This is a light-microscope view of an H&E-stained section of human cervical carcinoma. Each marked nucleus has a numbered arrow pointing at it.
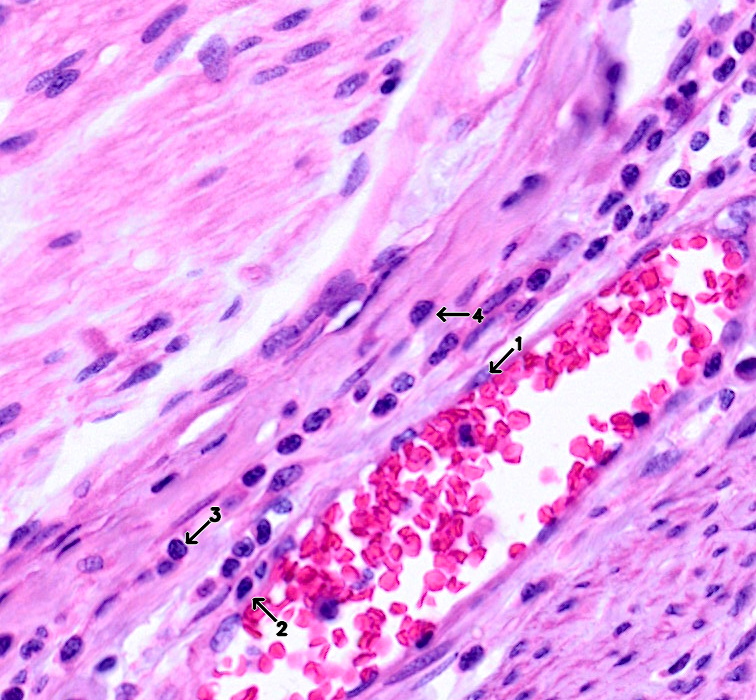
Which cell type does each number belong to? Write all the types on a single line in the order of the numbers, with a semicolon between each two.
endothelial cell; lymphocyte; lymphocyte; lymphocyte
